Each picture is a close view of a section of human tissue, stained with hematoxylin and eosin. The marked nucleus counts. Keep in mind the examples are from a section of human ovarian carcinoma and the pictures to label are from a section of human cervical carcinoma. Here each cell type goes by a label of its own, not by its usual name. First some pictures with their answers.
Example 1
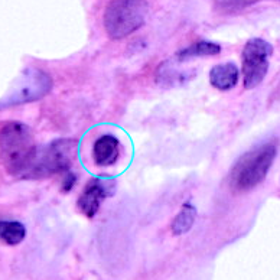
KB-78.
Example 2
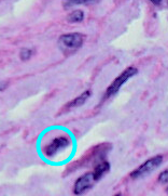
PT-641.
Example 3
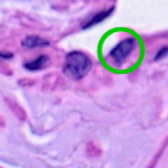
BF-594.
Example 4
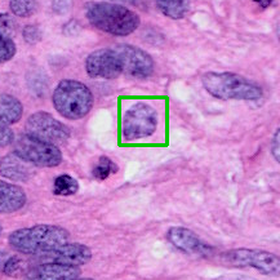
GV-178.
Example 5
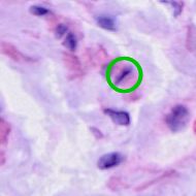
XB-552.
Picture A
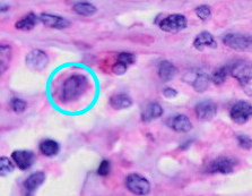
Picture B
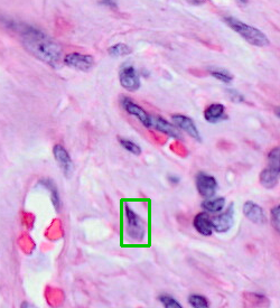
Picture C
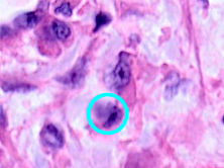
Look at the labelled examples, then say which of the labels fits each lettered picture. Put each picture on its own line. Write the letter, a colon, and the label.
A: GV-178.
B: GV-178.
C: GV-178.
